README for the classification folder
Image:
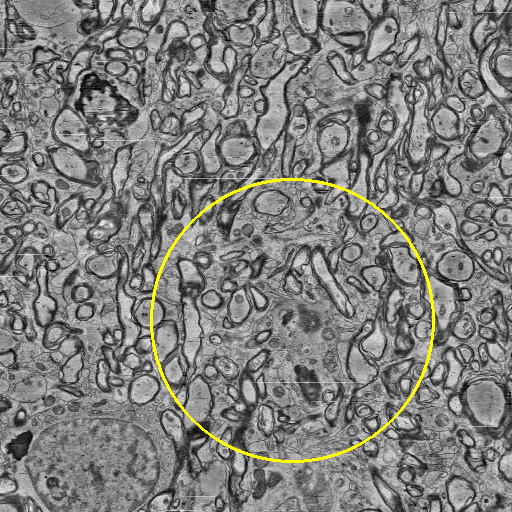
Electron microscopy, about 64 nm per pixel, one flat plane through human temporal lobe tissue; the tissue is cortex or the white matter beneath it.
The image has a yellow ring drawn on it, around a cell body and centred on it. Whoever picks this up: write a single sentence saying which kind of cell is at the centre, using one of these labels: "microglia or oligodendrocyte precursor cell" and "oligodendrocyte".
This cell body is that of an oligodendrocyte.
